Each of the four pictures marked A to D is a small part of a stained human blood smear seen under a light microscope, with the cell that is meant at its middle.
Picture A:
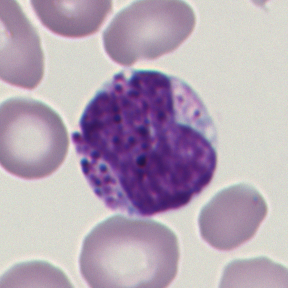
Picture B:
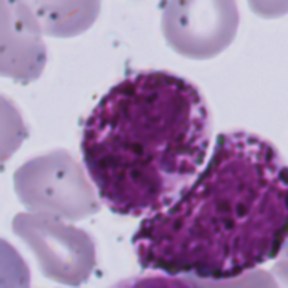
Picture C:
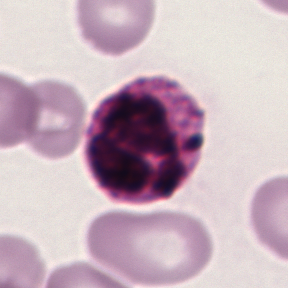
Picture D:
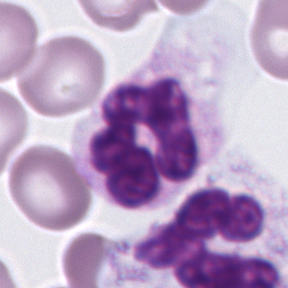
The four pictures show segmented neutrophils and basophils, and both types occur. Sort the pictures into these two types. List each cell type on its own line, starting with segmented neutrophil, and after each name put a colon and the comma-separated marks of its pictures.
segmented neutrophil: D
basophil: A, B, C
